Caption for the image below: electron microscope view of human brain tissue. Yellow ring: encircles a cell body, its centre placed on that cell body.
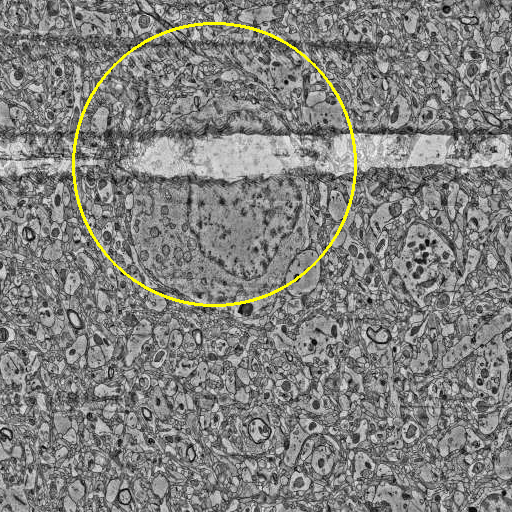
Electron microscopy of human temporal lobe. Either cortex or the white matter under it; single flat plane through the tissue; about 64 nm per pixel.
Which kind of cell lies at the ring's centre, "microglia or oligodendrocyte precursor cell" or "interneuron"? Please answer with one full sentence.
The picture shows an interneuron at the centre of the yellow ring.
